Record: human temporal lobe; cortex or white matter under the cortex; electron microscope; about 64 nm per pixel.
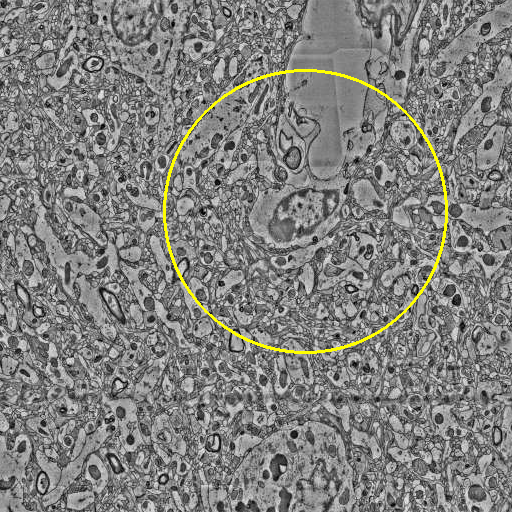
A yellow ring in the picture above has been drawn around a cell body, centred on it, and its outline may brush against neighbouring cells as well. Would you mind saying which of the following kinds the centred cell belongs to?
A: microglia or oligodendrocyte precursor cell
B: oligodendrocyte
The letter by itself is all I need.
A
